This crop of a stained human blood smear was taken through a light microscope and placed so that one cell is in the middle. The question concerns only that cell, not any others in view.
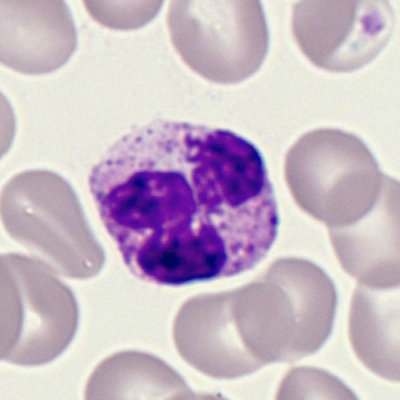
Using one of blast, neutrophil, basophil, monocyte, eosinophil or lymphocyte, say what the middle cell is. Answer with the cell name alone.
basophil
